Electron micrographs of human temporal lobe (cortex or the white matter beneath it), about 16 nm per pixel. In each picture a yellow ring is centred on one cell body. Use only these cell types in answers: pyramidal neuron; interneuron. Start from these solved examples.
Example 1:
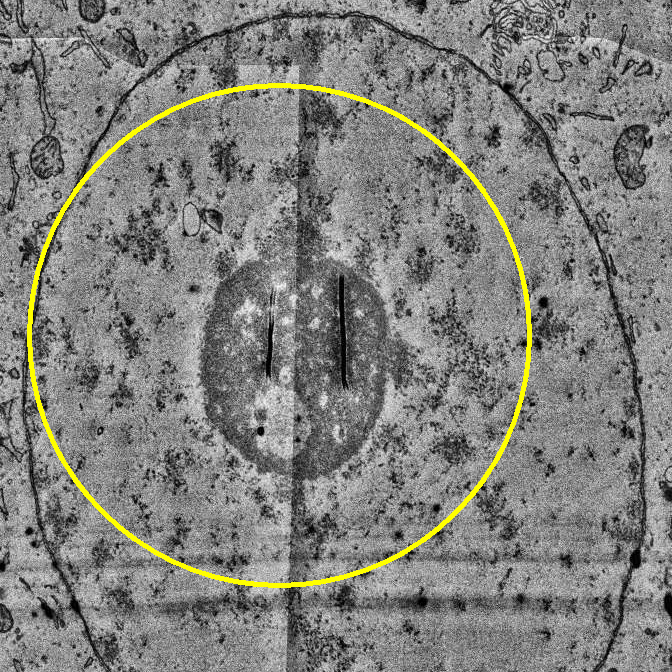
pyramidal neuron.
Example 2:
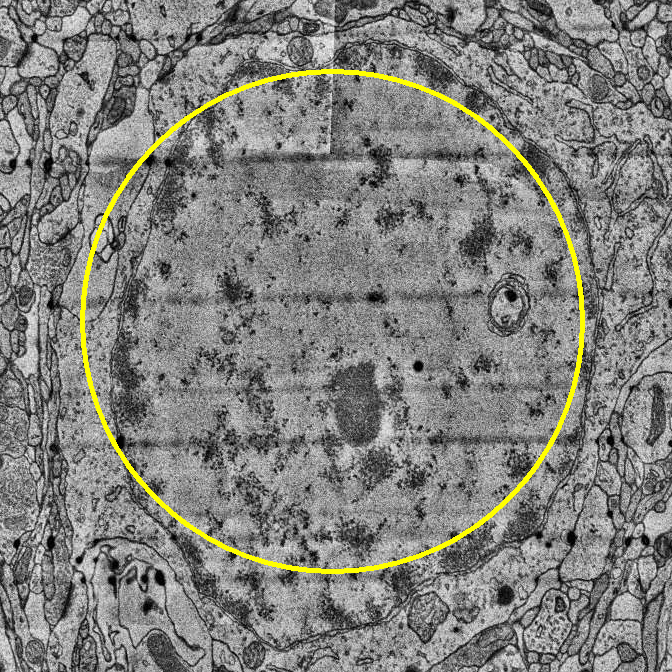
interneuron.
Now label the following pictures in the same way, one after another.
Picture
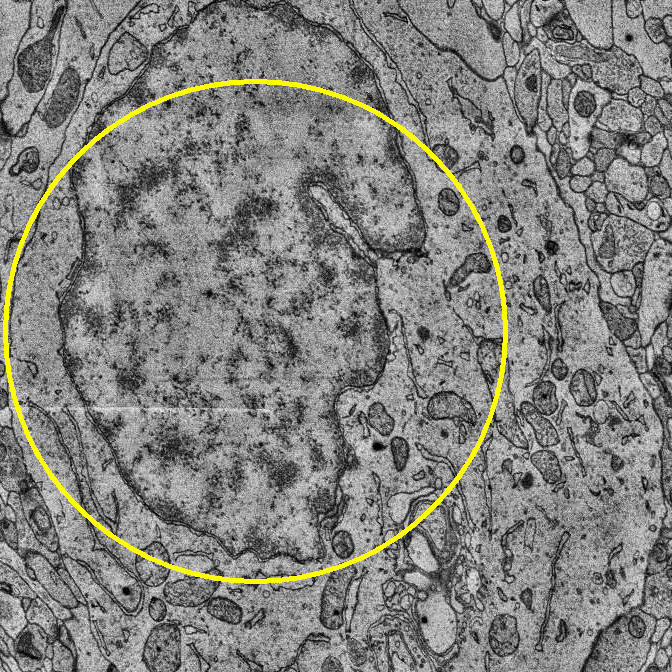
interneuron.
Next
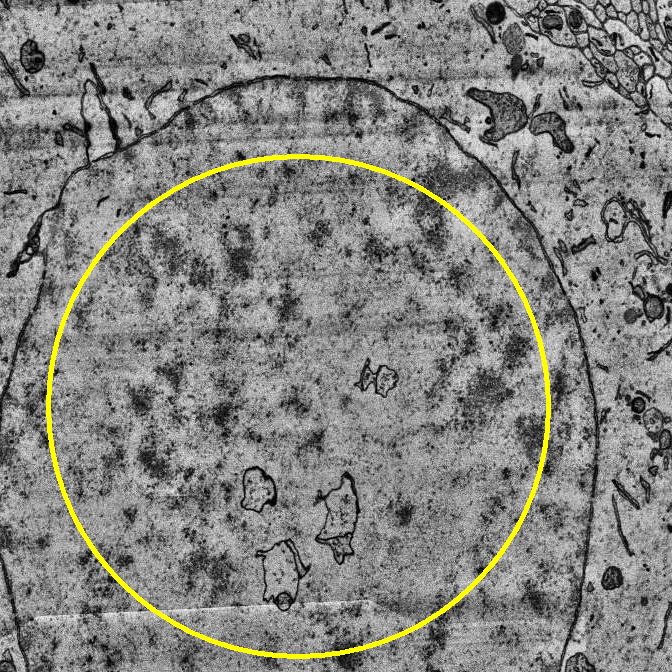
pyramidal neuron.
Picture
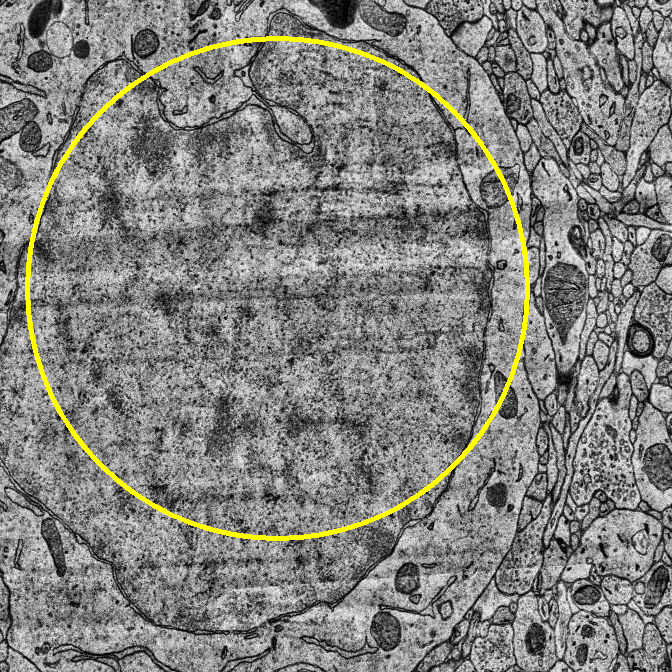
interneuron.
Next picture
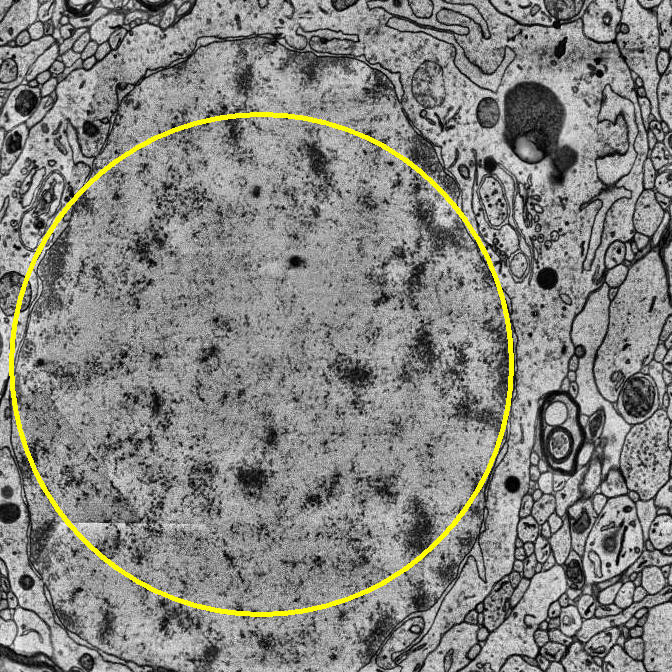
interneuron.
